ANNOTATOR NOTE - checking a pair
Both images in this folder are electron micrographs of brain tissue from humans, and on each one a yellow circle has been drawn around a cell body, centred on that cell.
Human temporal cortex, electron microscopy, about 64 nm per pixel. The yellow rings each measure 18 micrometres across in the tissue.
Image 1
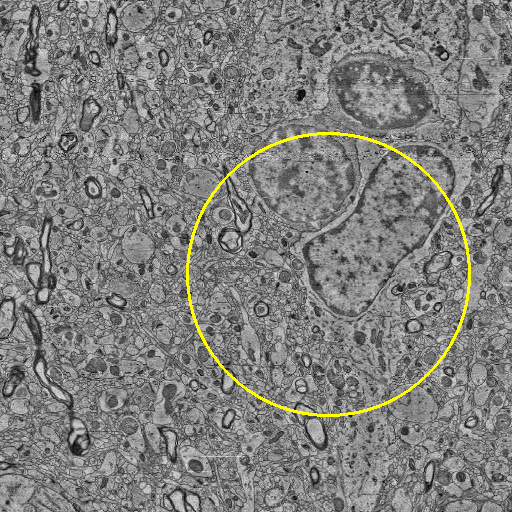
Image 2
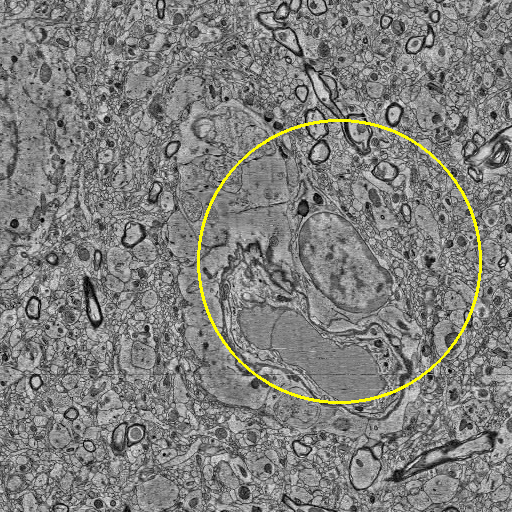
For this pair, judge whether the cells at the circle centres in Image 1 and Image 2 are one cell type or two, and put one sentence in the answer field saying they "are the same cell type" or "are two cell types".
For this pair, the cells at the circle centres in Images 1 and 2 are the same cell type.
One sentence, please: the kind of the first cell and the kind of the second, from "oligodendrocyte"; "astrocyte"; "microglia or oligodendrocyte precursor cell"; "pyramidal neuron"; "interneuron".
Each cell, in the first picture and the second, is a microglial cell or oligodendrocyte precursor cell.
